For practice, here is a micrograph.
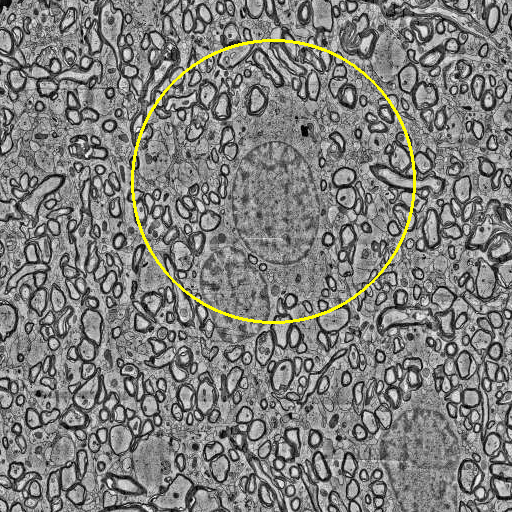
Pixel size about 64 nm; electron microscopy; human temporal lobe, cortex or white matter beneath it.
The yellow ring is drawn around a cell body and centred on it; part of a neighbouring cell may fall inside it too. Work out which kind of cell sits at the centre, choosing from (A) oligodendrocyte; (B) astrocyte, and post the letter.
A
